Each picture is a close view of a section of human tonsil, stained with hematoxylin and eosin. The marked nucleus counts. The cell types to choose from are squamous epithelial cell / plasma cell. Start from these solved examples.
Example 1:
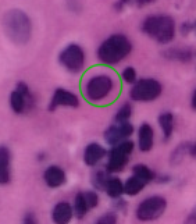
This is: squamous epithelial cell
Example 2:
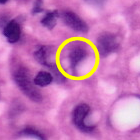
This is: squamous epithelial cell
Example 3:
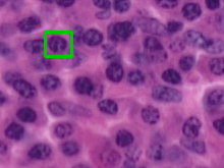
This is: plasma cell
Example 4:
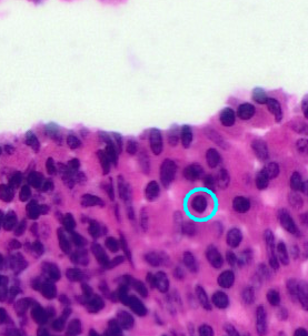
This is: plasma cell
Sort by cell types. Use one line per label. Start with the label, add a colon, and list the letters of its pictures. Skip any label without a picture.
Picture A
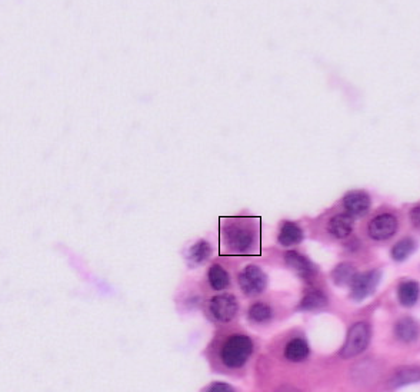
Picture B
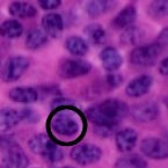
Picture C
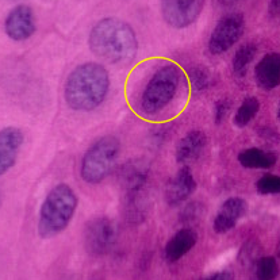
squamous epithelial cell: C
plasma cell: A, B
